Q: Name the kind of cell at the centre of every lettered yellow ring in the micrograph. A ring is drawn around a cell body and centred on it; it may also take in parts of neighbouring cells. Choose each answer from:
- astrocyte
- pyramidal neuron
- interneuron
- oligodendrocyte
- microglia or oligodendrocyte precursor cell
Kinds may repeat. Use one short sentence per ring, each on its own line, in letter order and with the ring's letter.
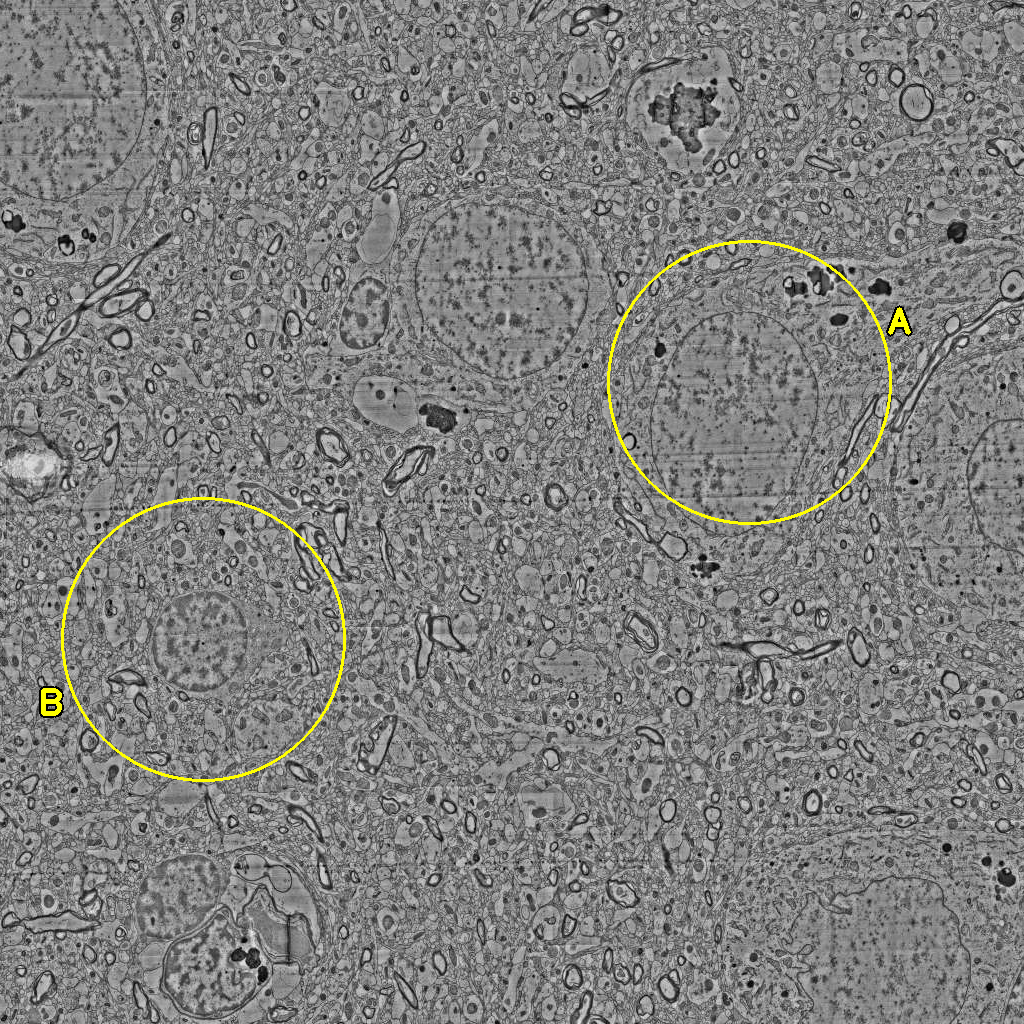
Ring A is placed around a pyramidal neuron.
Ring B is placed around an oligodendrocyte.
